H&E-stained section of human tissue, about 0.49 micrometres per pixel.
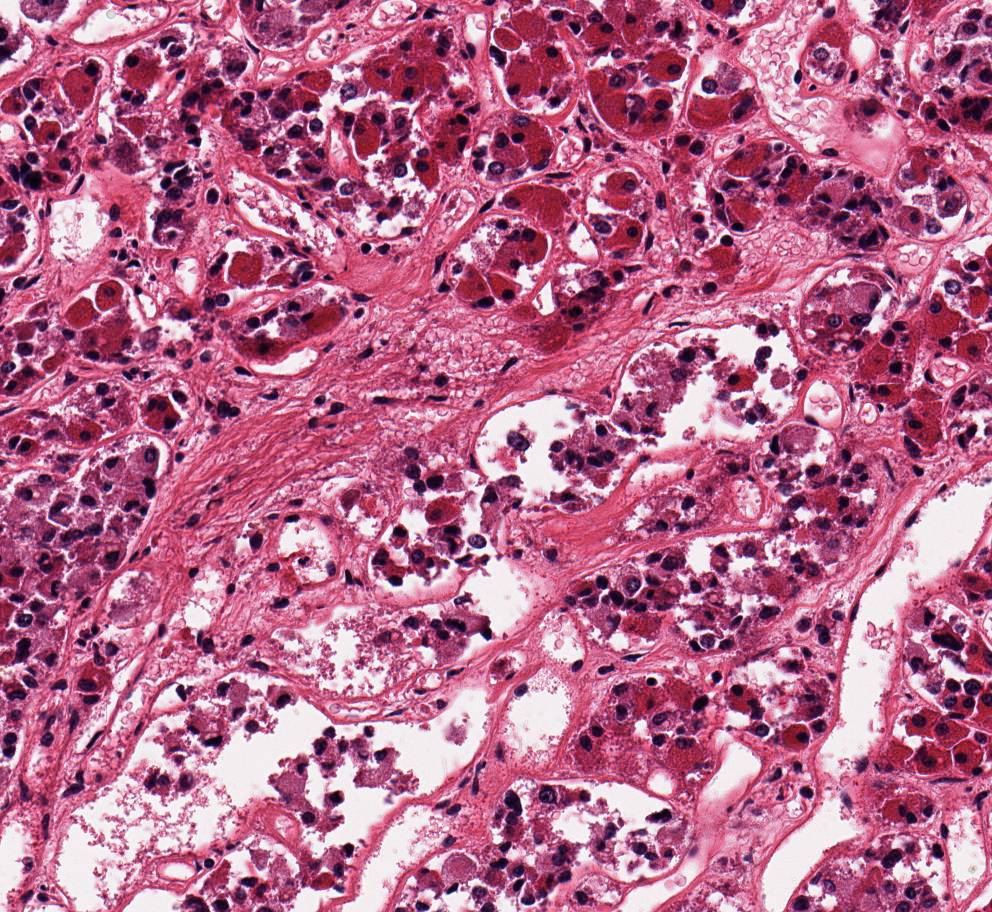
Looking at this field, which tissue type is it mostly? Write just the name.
pars distalis of the pituitary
